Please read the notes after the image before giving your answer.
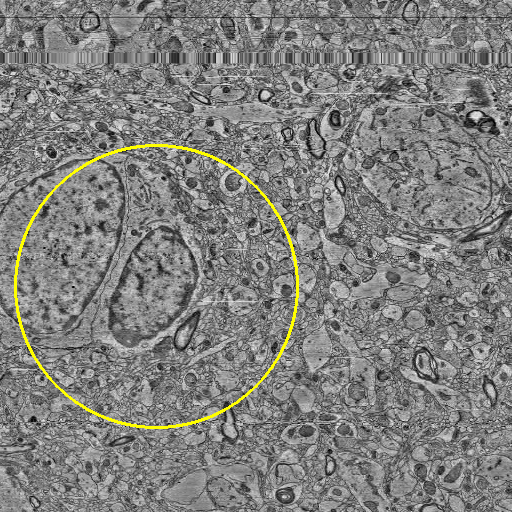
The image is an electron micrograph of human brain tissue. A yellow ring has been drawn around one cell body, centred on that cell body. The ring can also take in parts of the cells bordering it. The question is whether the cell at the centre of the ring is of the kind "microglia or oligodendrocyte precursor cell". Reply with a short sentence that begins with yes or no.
Yes, the cell at the centre is of that kind.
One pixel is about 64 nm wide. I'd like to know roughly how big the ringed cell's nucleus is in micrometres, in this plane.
Roughly 8 by 5 micrometres; in this plane, clearly longer than it is wide.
